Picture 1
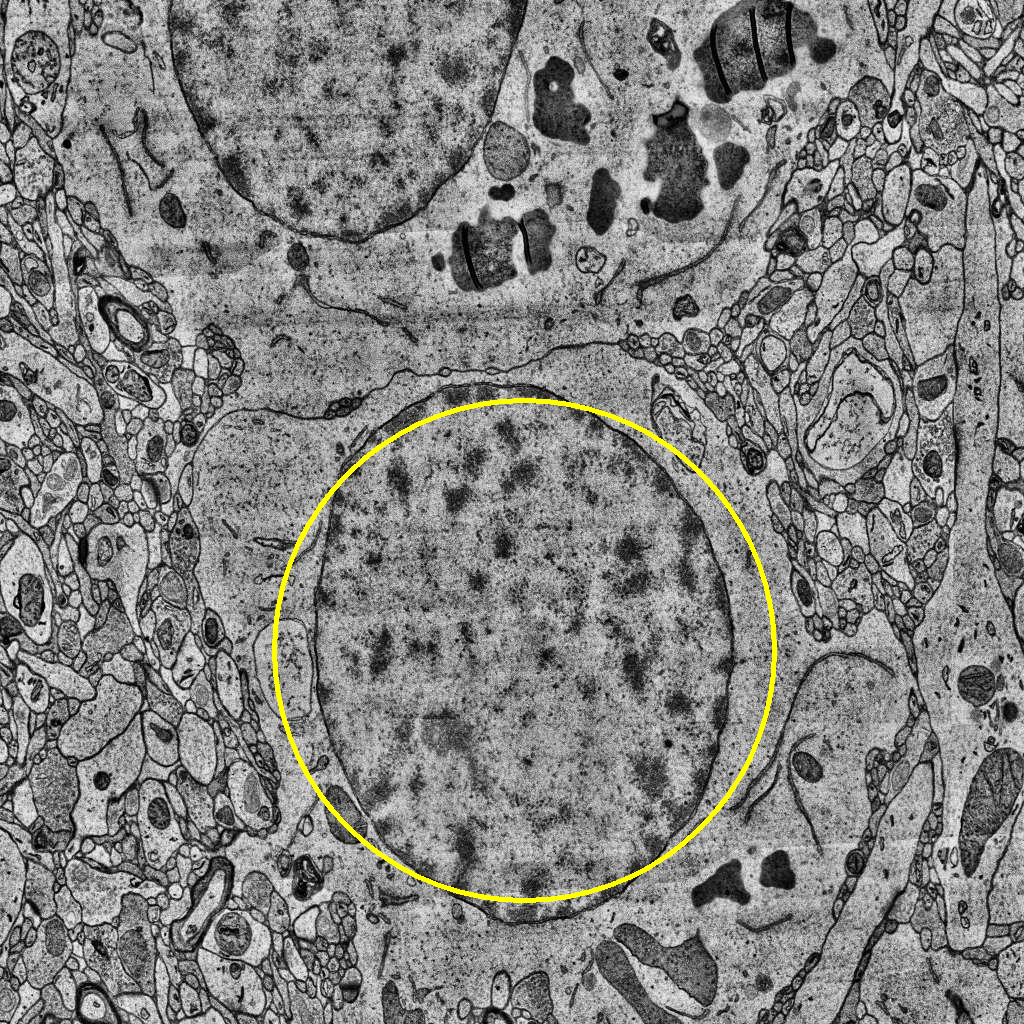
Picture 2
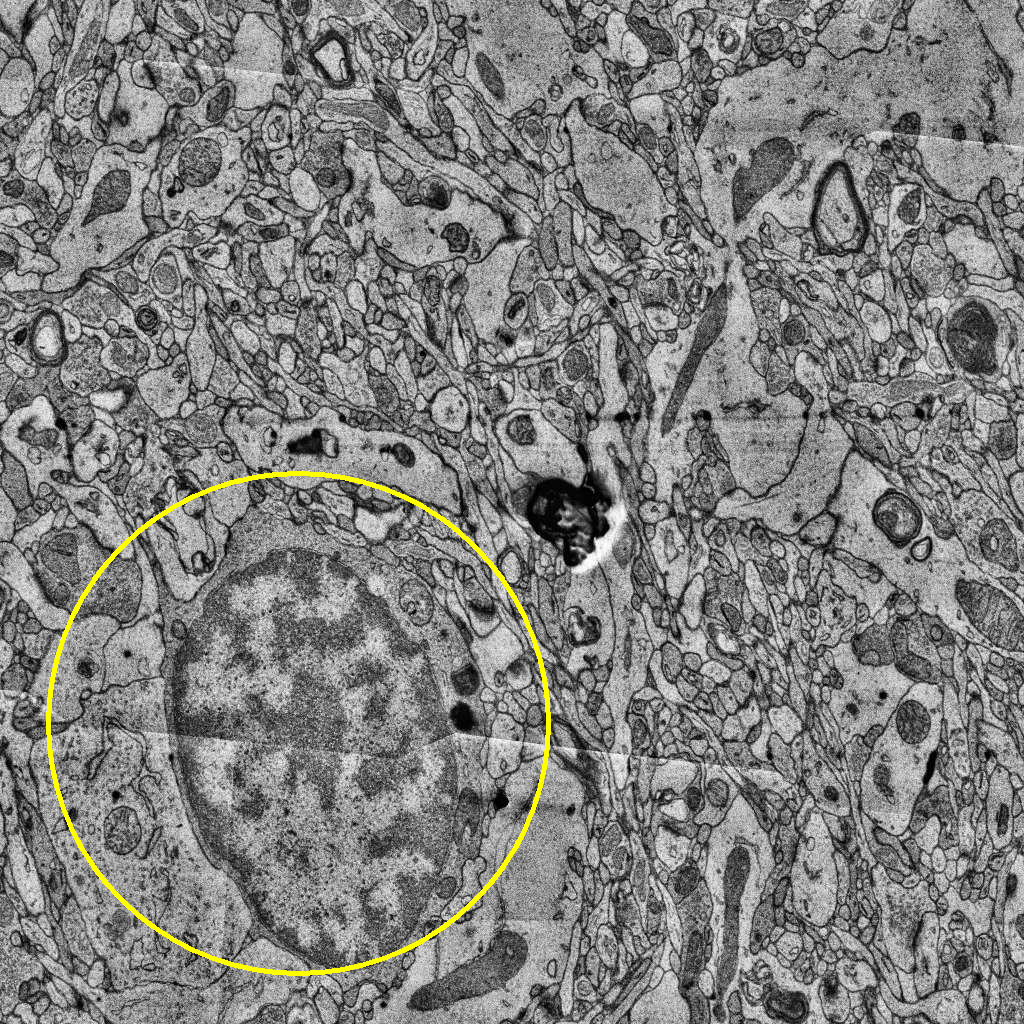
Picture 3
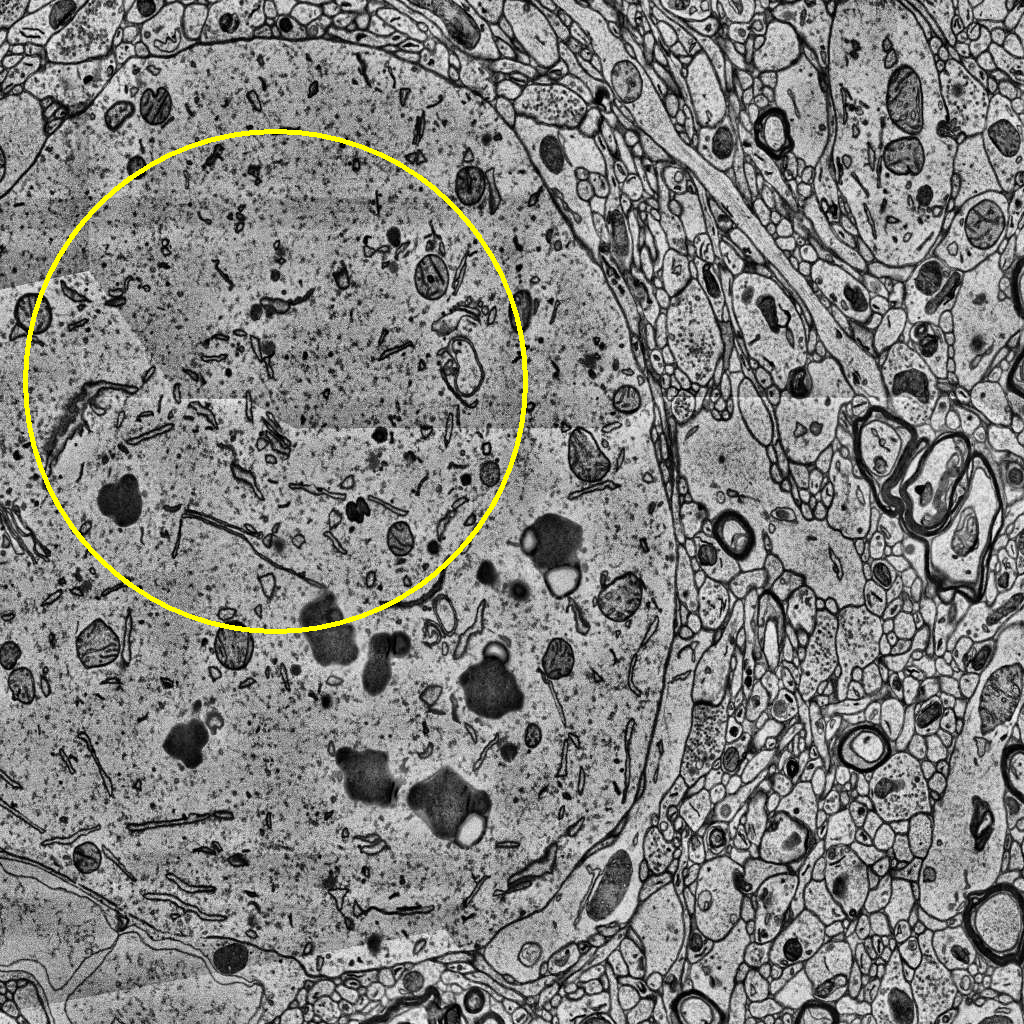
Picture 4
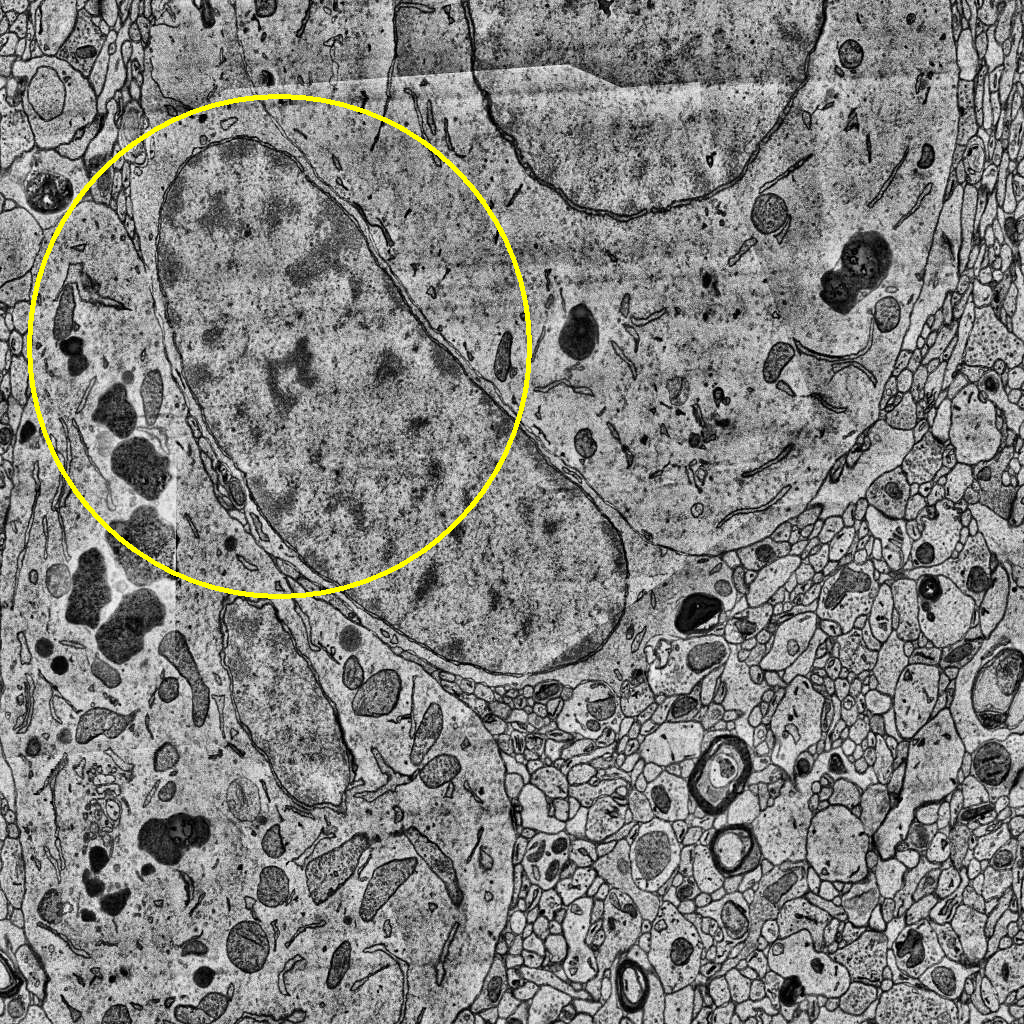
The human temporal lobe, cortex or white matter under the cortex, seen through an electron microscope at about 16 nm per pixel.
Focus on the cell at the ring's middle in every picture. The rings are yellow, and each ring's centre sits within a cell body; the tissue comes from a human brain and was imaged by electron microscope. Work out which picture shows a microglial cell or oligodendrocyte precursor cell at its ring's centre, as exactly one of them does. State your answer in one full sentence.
In picture 4, the ring's centre lies inside the cell in question.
